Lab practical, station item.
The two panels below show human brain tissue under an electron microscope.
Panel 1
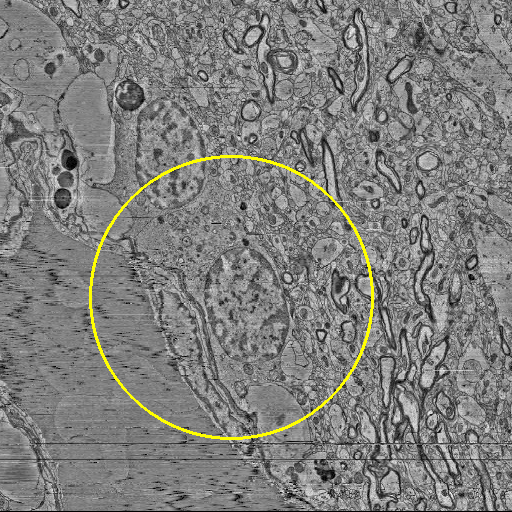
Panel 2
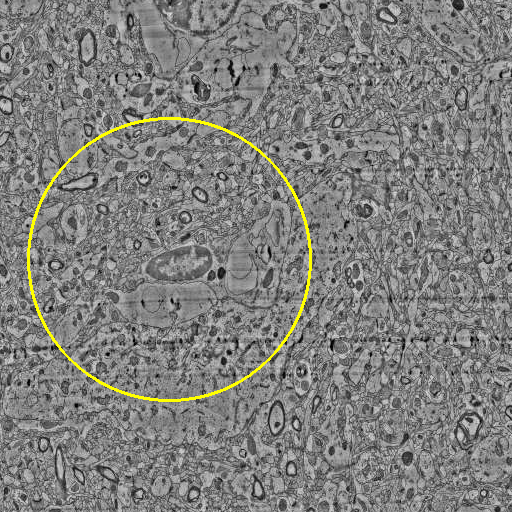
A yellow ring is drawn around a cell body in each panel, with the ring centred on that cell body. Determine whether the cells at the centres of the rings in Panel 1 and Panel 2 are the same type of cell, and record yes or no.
no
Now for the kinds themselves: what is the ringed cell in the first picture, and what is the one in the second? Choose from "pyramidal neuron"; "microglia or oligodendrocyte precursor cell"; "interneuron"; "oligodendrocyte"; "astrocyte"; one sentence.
Here the first cell is an oligodendrocyte and the second cell is a microglial cell or oligodendrocyte precursor cell.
